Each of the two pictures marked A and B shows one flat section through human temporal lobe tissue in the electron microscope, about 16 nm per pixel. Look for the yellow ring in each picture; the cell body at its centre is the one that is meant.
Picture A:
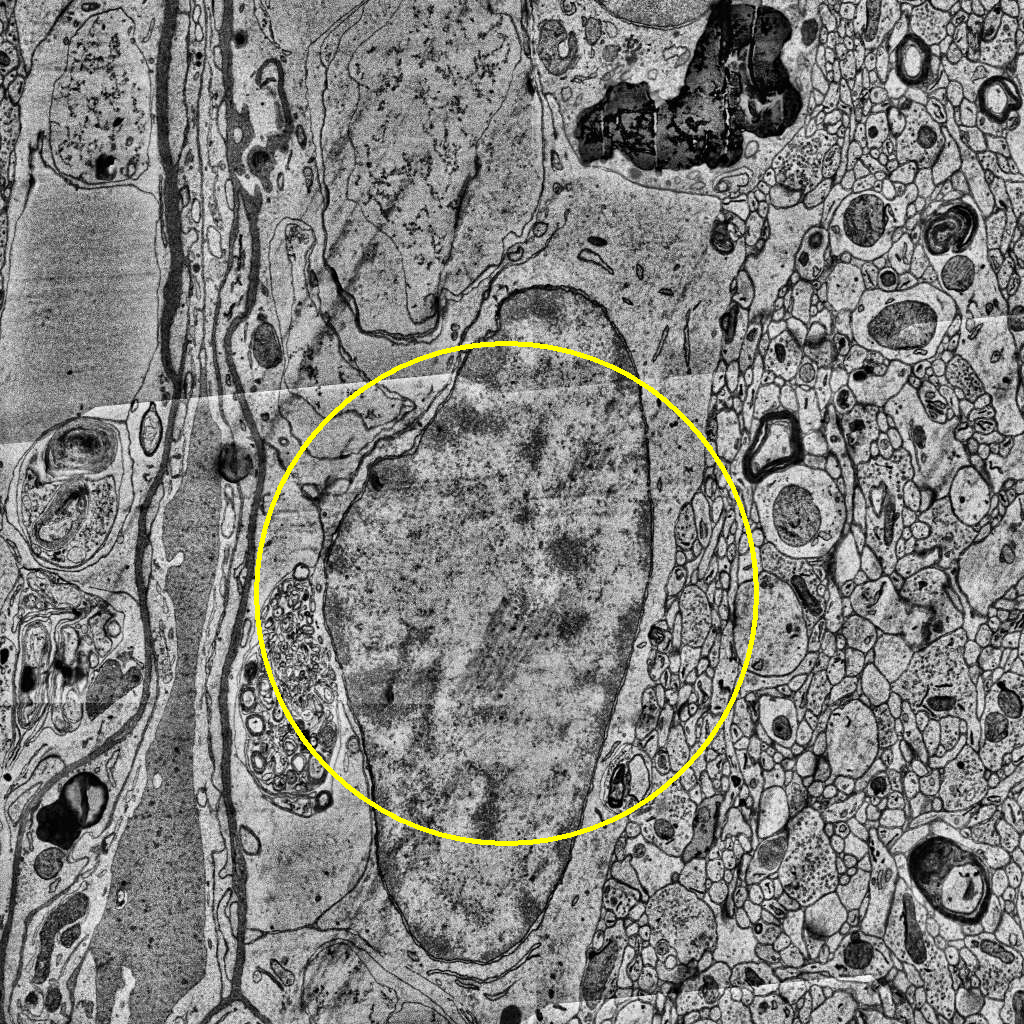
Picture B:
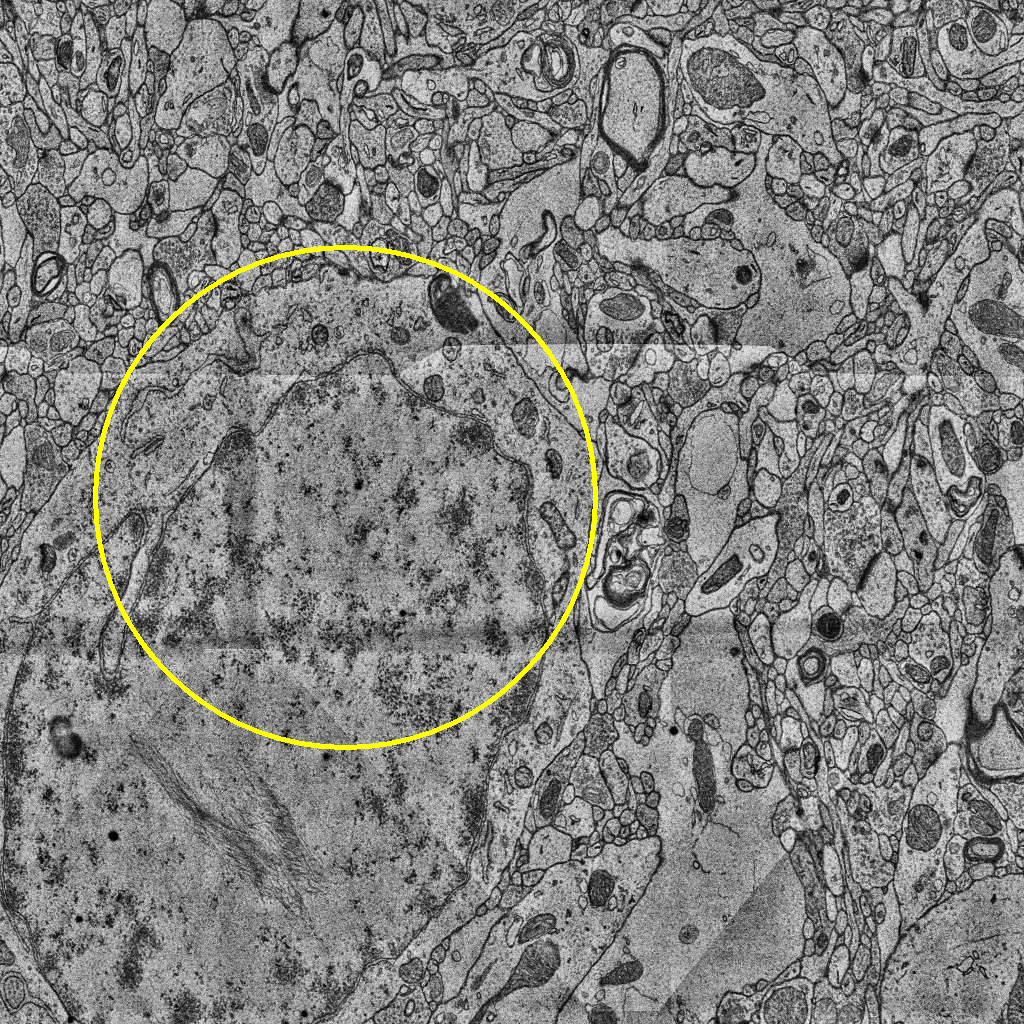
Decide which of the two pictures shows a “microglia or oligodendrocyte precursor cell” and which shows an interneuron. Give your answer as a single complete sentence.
It is picture A that shows a “microglia or oligodendrocyte precursor cell”, and picture B that shows an interneuron.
